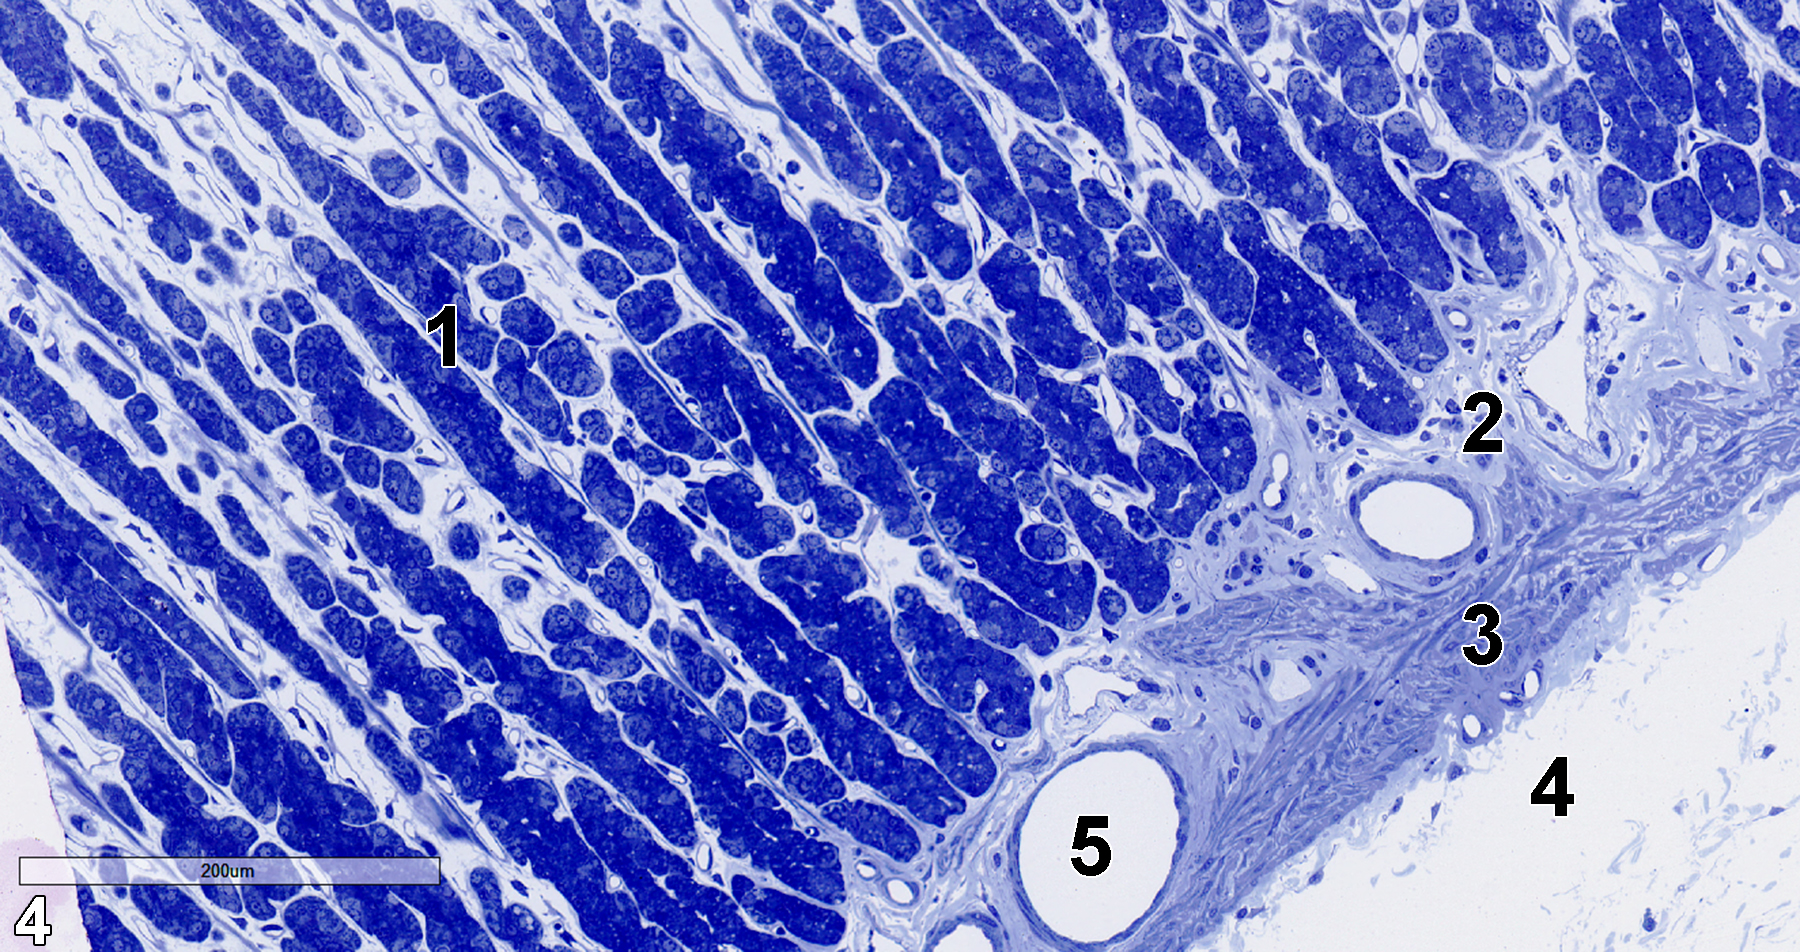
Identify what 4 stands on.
The number 4 marks the submucosa.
